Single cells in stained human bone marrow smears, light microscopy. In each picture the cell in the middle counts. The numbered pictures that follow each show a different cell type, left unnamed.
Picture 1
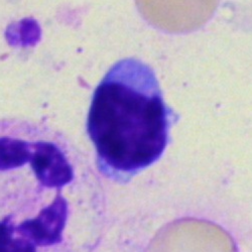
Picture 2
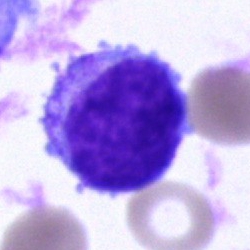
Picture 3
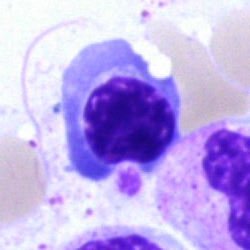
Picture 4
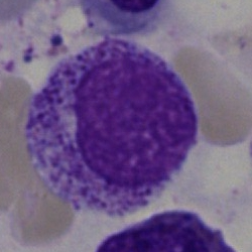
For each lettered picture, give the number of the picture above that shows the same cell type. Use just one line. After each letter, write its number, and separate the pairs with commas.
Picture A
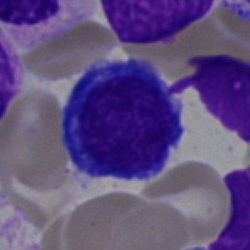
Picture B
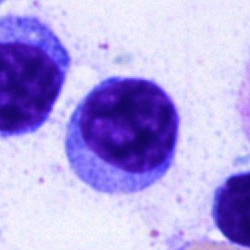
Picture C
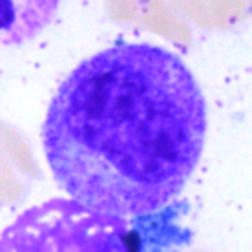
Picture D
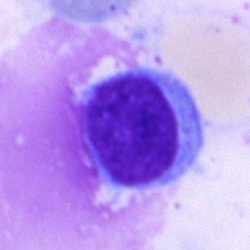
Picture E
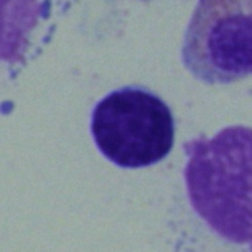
A 3, B 1, C 4, D 1, E 1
